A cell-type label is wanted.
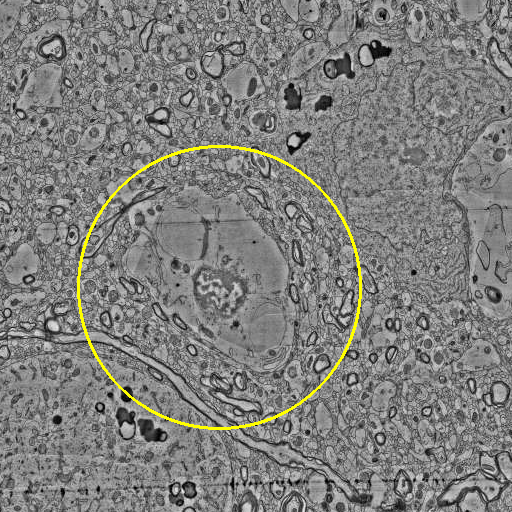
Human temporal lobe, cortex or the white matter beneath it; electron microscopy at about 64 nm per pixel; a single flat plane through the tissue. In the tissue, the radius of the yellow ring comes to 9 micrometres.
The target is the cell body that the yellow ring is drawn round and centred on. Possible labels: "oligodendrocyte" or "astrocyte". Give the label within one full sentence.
Of the labels offered, the cell in the middle of the yellow ring is an astrocyte.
